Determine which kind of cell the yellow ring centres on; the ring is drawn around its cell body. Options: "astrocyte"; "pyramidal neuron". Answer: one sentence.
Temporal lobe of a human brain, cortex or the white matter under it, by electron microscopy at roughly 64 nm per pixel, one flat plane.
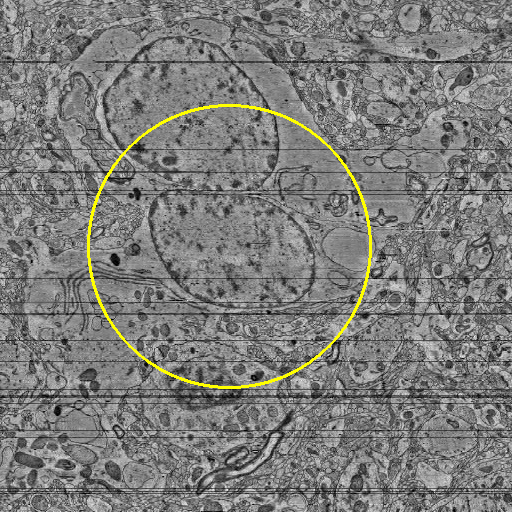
The ring centres on an astrocyte.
